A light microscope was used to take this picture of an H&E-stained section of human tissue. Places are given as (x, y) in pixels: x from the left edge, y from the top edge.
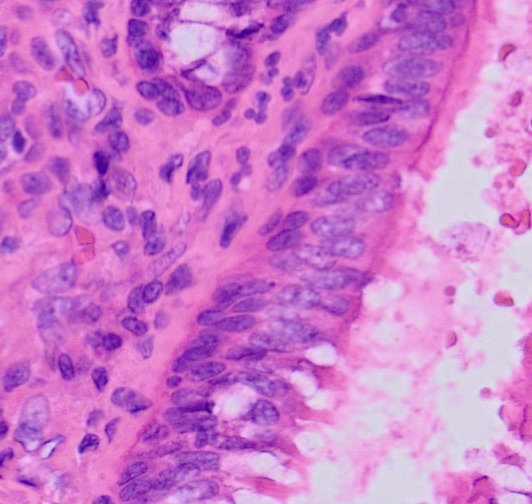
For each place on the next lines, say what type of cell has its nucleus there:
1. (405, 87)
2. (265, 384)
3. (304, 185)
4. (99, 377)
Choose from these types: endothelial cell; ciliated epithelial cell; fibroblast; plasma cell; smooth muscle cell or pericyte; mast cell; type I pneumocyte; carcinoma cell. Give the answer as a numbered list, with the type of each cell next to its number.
1. ciliated epithelial cell
2. ciliated epithelial cell
3. ciliated epithelial cell
4. plasma cell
